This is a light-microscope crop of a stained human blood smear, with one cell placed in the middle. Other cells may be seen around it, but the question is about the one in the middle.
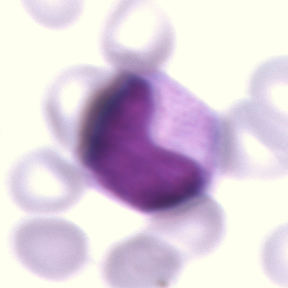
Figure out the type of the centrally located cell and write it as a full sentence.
The cell the crop is centered on is a band neutrophil.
